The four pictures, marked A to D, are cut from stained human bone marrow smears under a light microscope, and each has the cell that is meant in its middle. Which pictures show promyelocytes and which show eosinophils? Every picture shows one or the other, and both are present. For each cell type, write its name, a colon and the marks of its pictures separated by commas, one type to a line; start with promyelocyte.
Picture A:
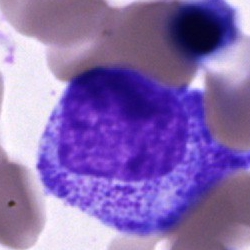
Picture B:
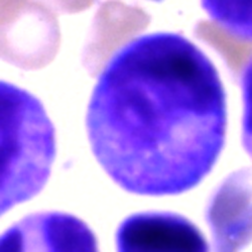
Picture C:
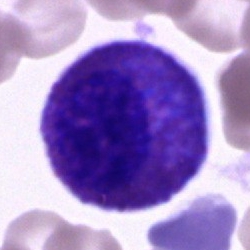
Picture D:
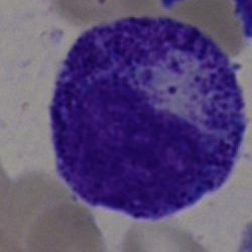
promyelocyte: A, B, D
eosinophil: C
